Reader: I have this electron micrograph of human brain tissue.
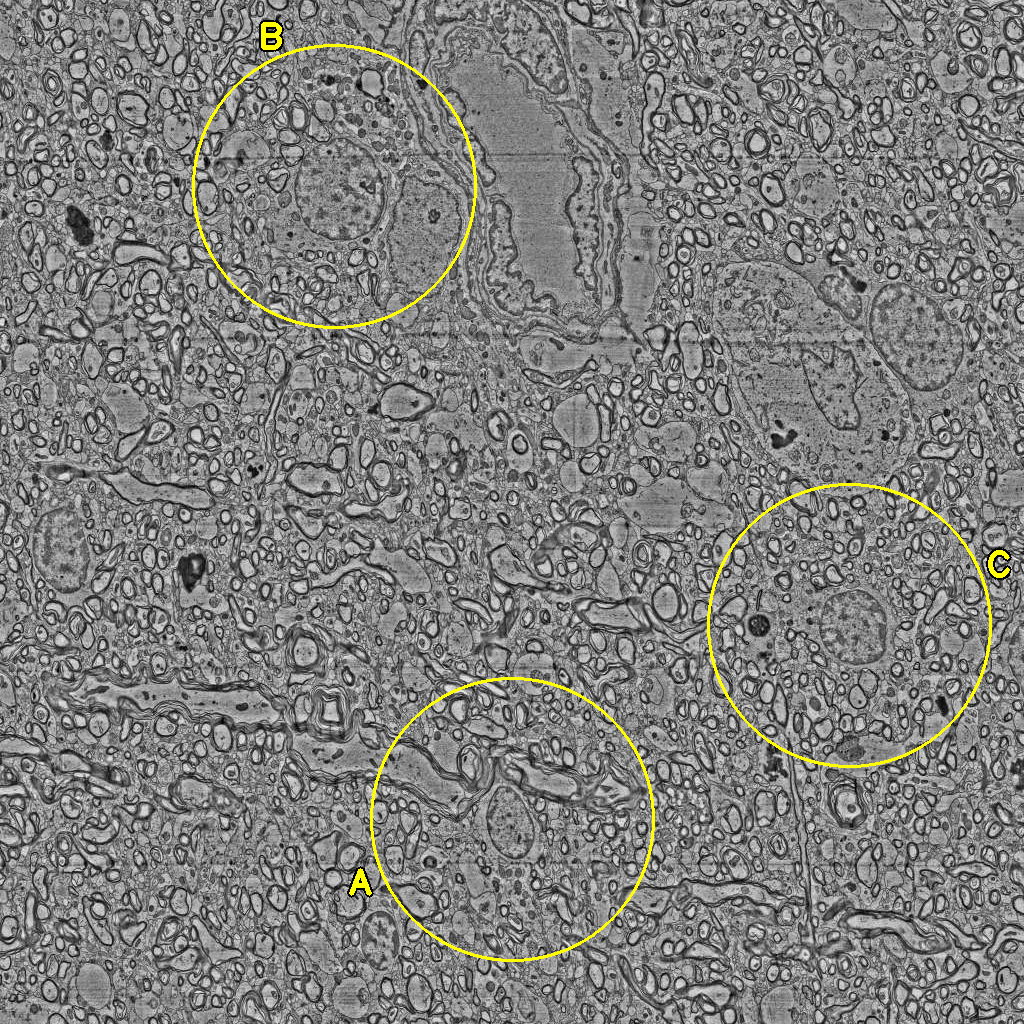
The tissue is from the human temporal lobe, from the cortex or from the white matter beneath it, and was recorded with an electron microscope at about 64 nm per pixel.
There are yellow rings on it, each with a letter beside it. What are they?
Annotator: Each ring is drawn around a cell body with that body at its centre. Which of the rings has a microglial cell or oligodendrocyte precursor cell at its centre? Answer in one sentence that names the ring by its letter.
That cell sits at the centre of ring A.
